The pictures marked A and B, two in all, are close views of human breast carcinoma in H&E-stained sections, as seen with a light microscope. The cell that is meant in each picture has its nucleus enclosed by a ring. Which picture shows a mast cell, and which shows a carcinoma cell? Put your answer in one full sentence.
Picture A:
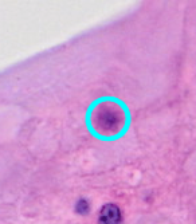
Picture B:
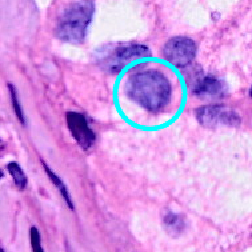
It is picture A that shows a mast cell, and picture B that shows a carcinoma cell.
